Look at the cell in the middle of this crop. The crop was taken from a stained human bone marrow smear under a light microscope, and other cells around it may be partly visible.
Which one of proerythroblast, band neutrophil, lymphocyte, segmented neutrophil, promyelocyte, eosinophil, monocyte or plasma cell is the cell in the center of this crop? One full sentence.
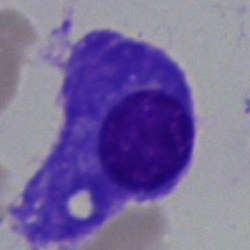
This crop has a plasma cell at its centre.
